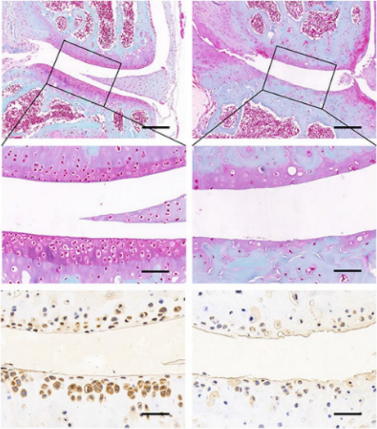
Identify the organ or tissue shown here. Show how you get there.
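A joint space separates two opposing smooth layers of matrix over bone. Rounded cells sit singly in lacunae within a red-stained matrix. Bone with marrow spaces lies beneath the cartilage layers.
Articular cartilage.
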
